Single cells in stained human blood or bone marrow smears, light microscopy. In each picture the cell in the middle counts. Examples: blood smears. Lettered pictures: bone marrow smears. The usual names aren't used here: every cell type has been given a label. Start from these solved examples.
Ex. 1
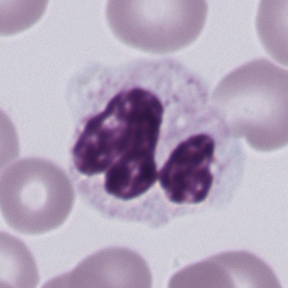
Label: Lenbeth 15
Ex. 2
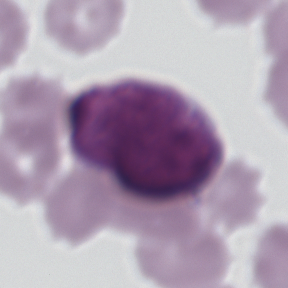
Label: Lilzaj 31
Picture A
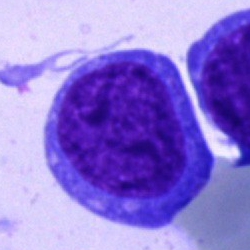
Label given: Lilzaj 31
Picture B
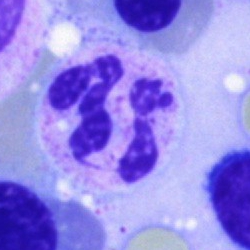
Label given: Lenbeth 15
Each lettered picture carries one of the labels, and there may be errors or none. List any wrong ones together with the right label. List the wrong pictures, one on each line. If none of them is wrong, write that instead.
Nothing to fix; every label fits.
